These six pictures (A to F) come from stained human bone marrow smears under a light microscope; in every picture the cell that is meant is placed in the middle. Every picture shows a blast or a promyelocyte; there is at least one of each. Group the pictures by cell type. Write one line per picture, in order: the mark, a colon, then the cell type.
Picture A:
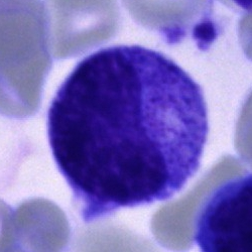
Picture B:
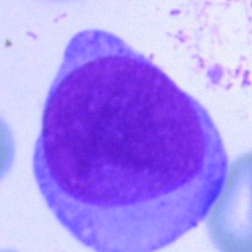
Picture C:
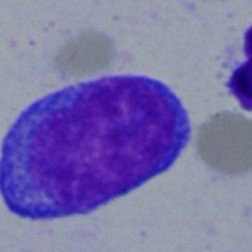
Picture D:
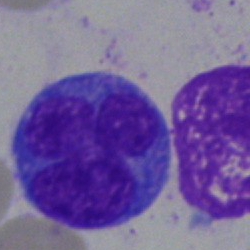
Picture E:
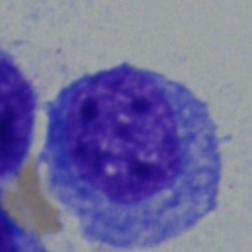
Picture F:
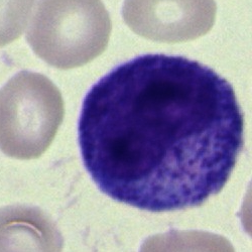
A: promyelocyte
B: blast
C: blast
D: blast
E: promyelocyte
F: promyelocyte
